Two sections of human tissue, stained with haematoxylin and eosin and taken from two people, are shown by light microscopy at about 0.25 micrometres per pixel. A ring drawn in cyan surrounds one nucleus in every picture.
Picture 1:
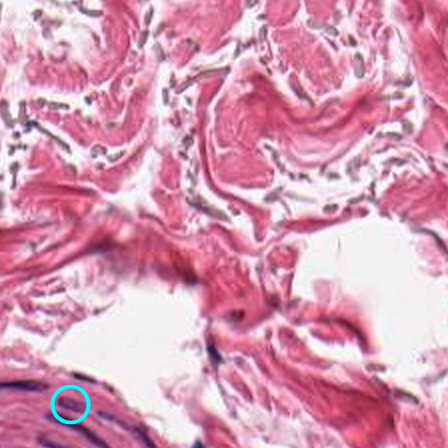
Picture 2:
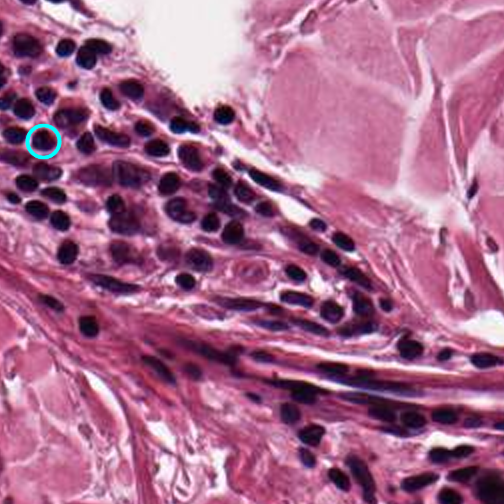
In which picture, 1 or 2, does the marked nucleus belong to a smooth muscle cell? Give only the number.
1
